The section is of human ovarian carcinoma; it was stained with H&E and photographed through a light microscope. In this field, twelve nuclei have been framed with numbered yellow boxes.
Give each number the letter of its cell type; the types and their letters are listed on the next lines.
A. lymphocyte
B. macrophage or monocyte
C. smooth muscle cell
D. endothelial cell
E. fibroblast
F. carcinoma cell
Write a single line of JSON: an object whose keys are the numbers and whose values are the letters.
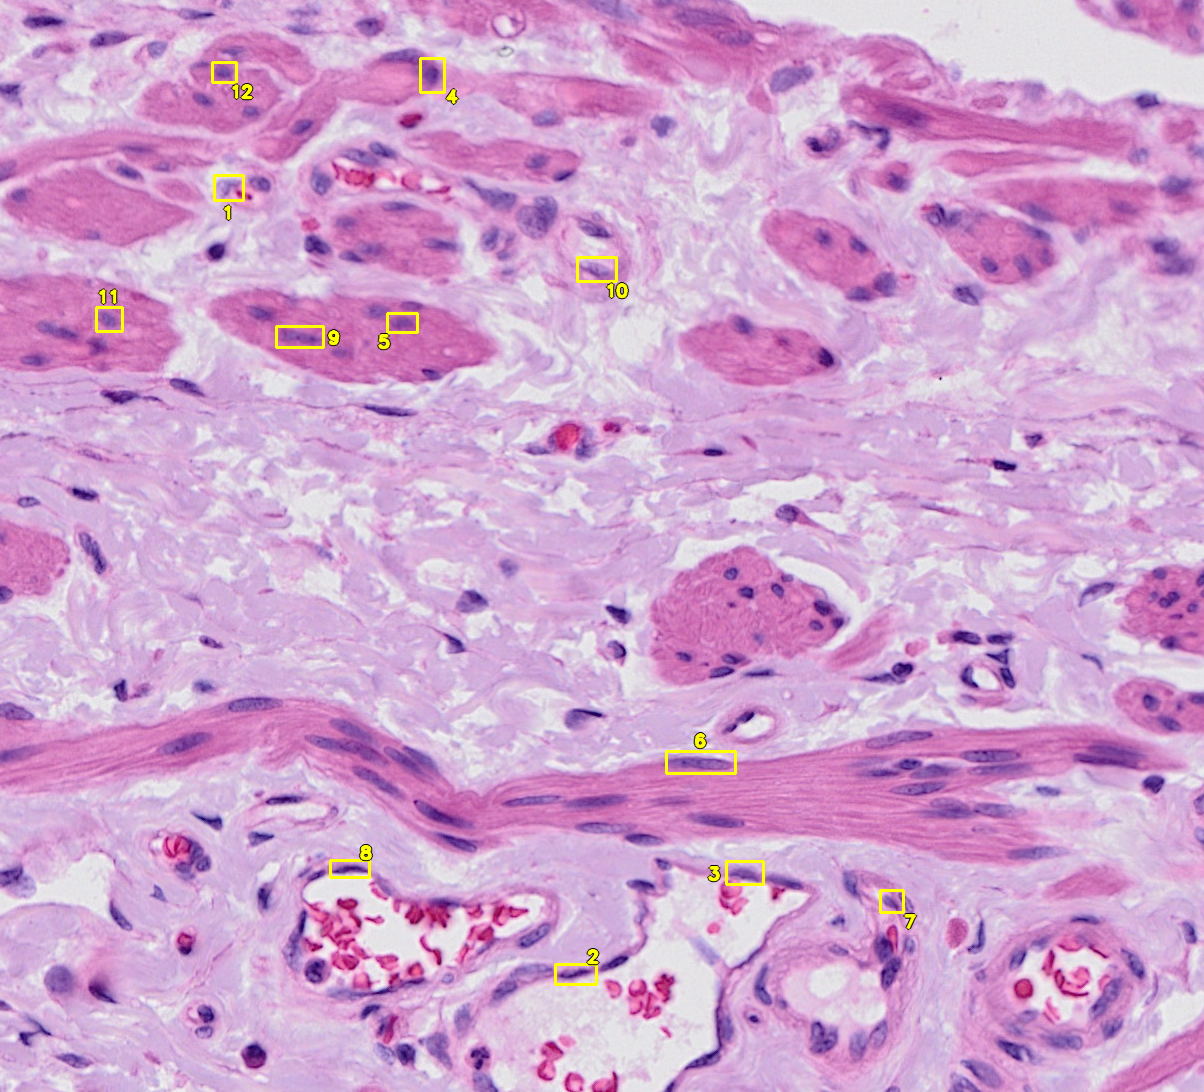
{"1": "D", "2": "D", "3": "D", "4": "C", "5": "C", "6": "C", "7": "D", "8": "D", "9": "C", "10": "D", "11": "C", "12": "C"}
